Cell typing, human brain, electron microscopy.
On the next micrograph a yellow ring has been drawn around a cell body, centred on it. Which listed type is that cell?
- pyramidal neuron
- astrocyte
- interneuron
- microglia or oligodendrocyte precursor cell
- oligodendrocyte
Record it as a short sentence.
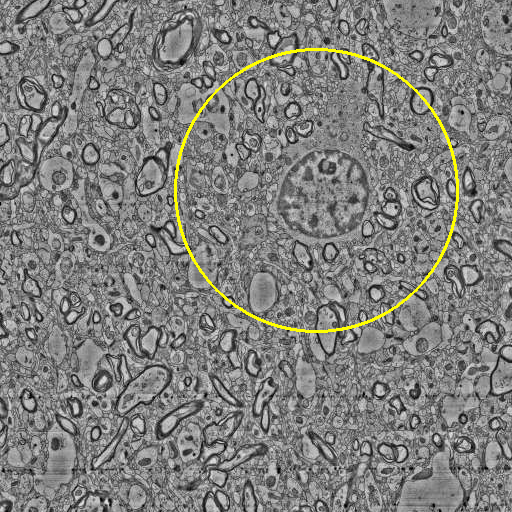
The cell body in the ring's centre belongs to an oligodendrocyte.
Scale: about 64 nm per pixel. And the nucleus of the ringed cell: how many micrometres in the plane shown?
The ringed cell's nucleus is about 6 micrometres across in this plane.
